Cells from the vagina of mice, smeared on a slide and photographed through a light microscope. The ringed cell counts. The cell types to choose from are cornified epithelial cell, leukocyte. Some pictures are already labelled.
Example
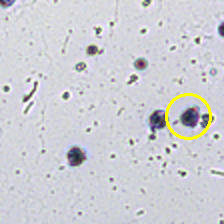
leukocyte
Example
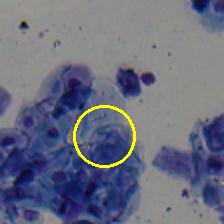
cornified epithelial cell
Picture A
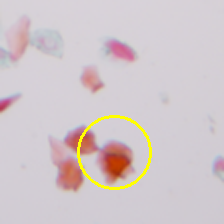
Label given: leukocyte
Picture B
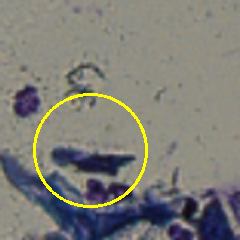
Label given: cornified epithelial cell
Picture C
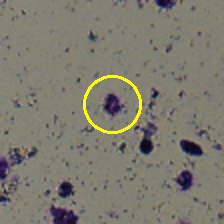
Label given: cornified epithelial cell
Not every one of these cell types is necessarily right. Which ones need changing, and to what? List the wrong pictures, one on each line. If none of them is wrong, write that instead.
Wrong: A (leukocyte); correct: cornified epithelial cell
Wrong: C (cornified epithelial cell); correct: leukocyte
